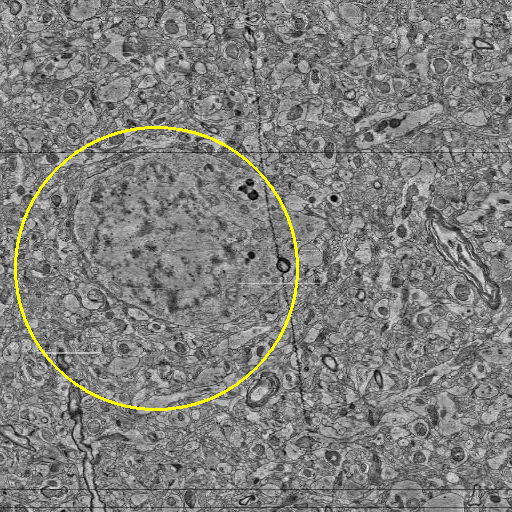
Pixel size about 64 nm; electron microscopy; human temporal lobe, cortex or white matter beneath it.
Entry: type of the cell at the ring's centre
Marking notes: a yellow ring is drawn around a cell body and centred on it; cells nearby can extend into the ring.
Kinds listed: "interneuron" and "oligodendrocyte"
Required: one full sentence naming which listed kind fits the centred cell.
My entry names an interneuron as the cell whose body the yellow ring centres on.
